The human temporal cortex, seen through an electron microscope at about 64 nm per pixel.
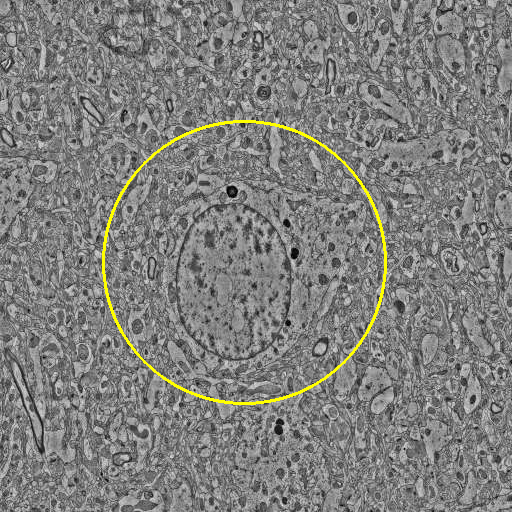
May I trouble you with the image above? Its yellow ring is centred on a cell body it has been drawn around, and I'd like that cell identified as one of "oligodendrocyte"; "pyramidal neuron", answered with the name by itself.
pyramidal neuron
